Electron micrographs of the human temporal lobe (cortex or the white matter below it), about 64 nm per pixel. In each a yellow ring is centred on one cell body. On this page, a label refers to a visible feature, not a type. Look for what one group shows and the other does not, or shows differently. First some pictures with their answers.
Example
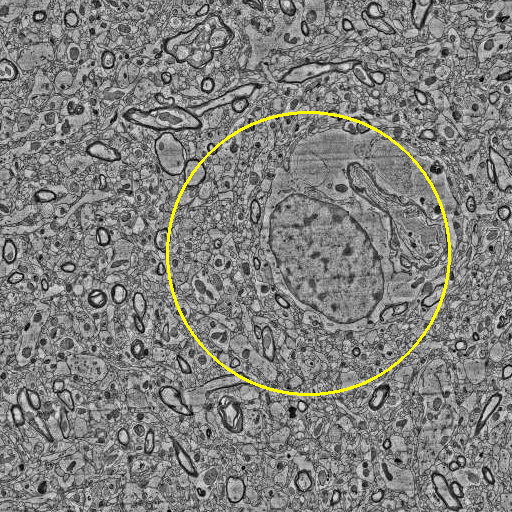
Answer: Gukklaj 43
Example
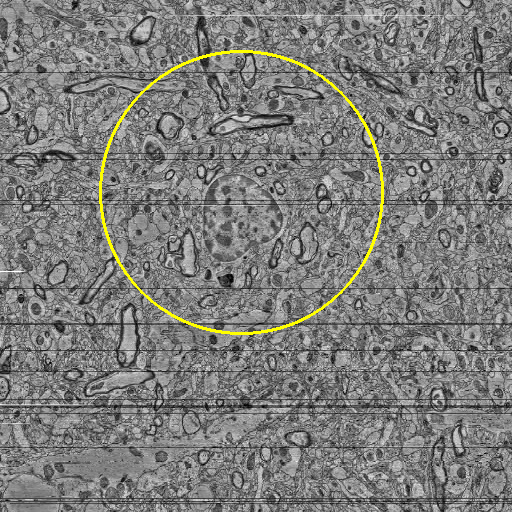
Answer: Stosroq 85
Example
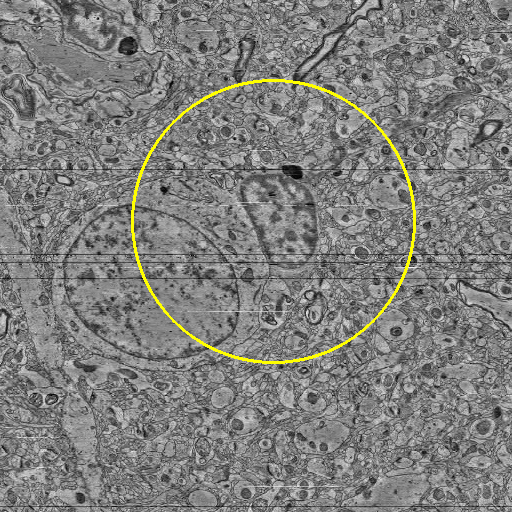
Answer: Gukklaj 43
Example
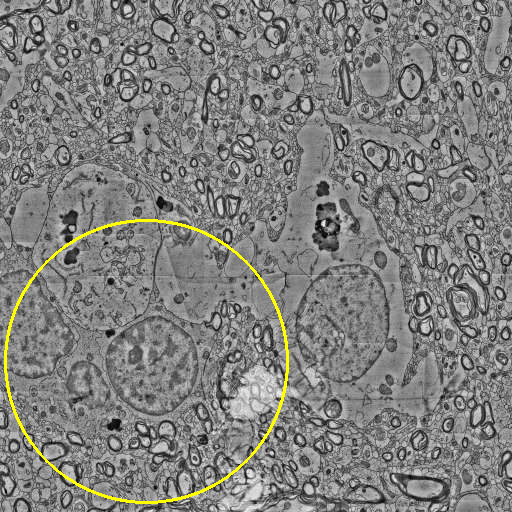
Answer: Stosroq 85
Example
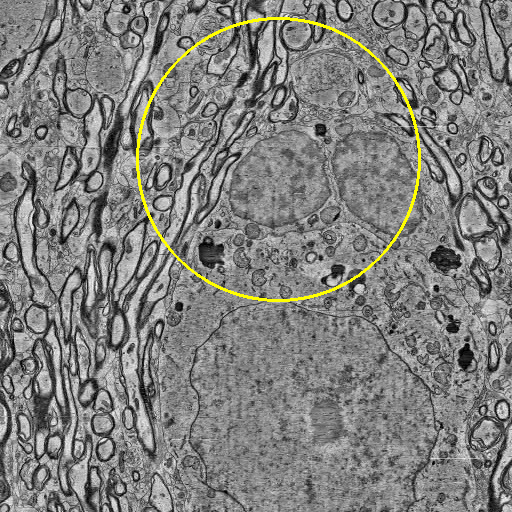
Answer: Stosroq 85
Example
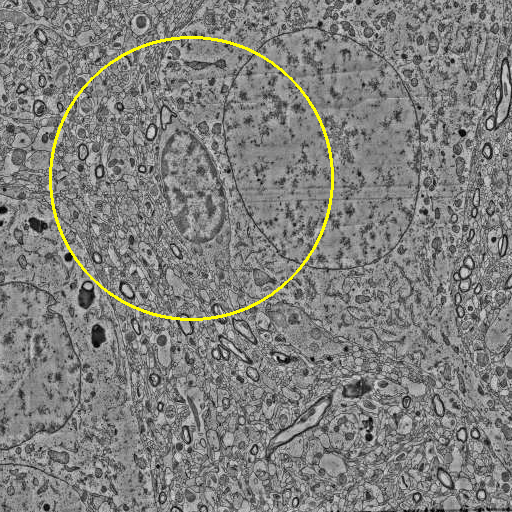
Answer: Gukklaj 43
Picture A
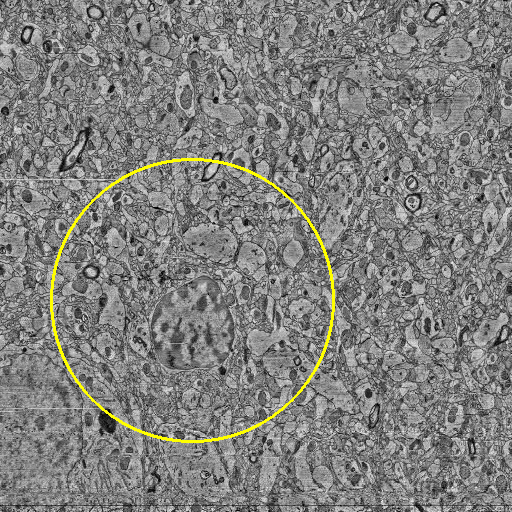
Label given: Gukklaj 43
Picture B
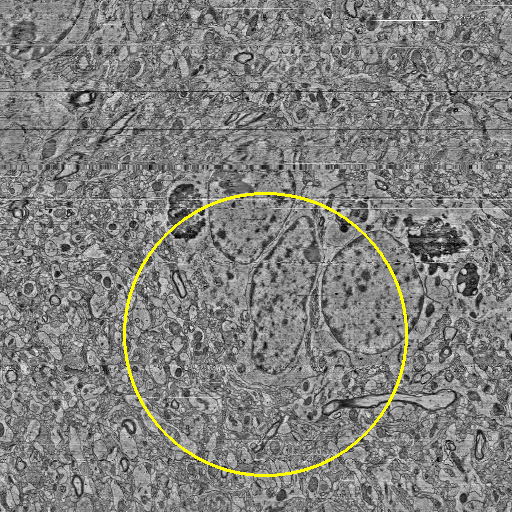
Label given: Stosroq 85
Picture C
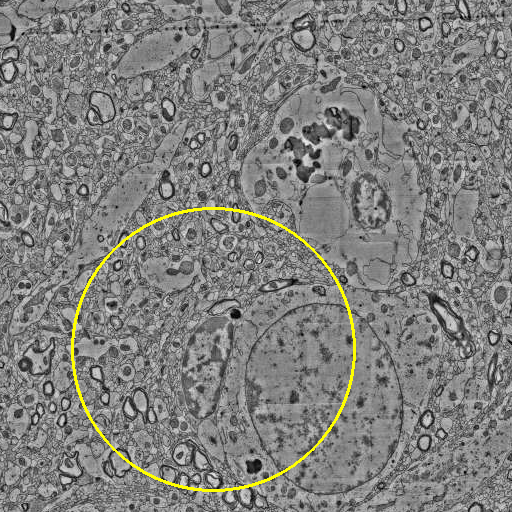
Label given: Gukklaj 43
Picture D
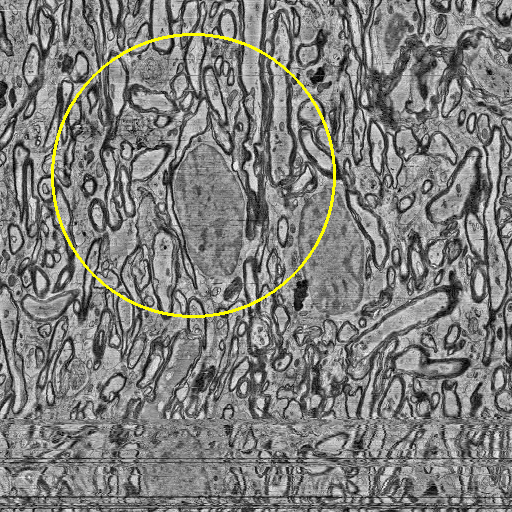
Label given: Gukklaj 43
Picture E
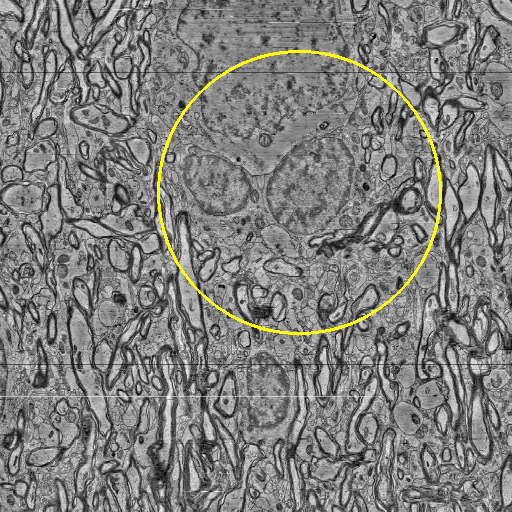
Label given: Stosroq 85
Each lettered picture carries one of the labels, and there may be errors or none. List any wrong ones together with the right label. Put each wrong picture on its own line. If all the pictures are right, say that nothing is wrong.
A: Stosroq 85, not Gukklaj 43
B: Gukklaj 43, not Stosroq 85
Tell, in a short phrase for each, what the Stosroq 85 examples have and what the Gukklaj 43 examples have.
Stosroq 85: round or nearly round nuclei; Gukklaj 43: clearly elongated nuclei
